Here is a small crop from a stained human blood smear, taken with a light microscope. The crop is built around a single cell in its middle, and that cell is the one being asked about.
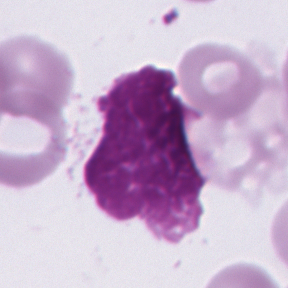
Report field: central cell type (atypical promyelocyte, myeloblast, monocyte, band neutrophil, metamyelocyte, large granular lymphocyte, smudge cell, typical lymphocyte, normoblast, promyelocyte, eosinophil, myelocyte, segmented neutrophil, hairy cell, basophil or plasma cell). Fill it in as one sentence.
Centrally within this crop lies a smudge cell.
